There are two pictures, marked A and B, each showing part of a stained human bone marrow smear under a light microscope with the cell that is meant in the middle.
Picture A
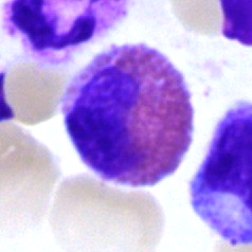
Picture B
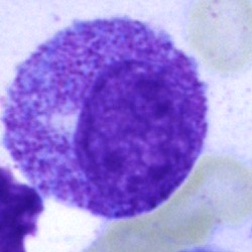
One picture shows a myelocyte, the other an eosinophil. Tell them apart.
A: eosinophil
B: myelocyte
